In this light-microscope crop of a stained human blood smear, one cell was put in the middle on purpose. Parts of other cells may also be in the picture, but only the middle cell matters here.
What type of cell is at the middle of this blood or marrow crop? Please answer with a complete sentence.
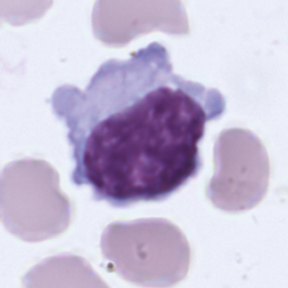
The crop shows a plasma cell in its centre.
